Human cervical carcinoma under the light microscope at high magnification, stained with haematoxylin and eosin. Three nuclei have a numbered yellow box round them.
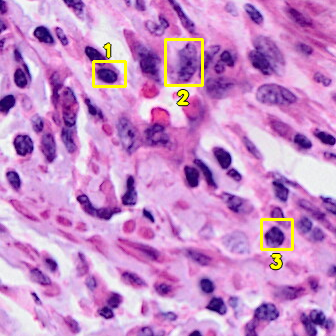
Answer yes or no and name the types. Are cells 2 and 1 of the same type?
No, cell 2 is an endothelial cell and cell 1 is a lymphocyte.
